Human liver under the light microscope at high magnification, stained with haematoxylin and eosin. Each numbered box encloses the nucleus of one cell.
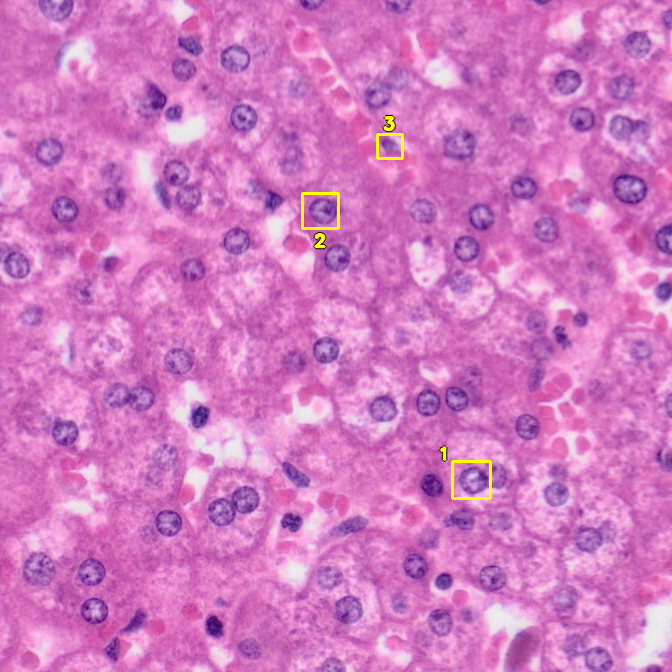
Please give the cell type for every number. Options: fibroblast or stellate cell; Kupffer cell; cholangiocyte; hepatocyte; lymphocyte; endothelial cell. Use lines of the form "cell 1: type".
cell 1: hepatocyte
cell 2: hepatocyte
cell 3: Kupffer cell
